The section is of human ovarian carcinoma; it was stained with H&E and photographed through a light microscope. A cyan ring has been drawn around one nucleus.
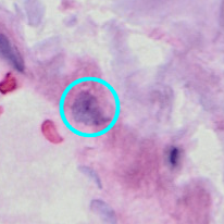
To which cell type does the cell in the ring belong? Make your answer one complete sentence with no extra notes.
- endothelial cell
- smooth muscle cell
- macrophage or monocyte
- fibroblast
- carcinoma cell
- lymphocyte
It is as an endothelial cell that the cell in the ring is recorded.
